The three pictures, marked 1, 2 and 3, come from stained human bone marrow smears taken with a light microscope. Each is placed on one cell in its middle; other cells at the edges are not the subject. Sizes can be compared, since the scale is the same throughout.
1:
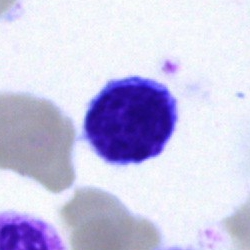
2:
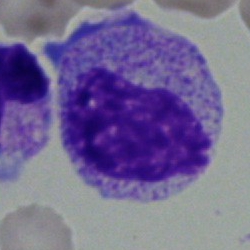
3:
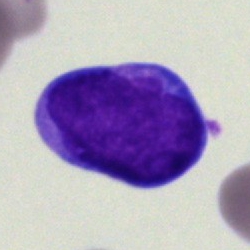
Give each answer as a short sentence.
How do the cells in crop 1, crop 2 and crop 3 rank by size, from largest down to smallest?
Largest first: 2, 3, 1.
